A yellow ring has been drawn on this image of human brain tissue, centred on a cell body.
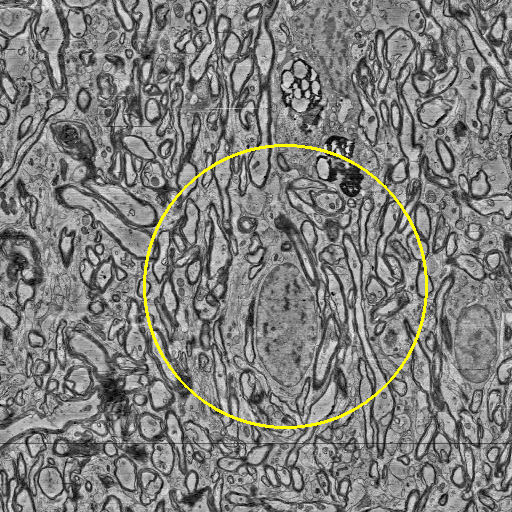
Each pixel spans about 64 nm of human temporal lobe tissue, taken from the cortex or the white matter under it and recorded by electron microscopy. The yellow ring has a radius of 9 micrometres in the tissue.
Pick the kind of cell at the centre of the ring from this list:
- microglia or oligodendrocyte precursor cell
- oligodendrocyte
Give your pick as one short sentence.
The centre of the ring holds a microglial cell or oligodendrocyte precursor cell.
